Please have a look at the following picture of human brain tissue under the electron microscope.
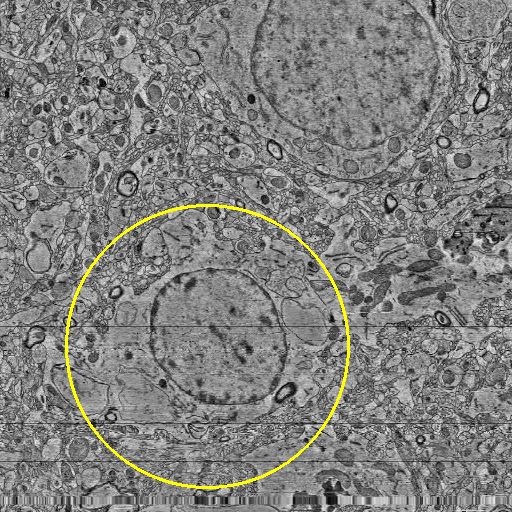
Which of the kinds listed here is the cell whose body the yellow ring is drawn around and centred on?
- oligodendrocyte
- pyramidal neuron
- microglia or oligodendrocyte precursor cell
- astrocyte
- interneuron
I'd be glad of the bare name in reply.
astrocyte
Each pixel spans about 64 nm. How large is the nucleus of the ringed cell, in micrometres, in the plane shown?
About 10 by 8 micrometers, in this plane.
